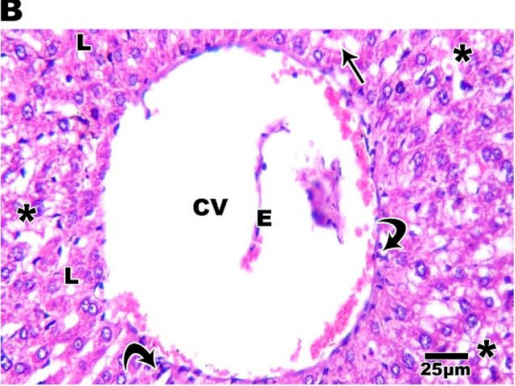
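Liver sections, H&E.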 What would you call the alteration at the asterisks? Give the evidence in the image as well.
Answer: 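Vacuolar degeneration of hepatocytes. Cells near the asterisks have pale, cleared, vacuolated cytoplasm.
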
